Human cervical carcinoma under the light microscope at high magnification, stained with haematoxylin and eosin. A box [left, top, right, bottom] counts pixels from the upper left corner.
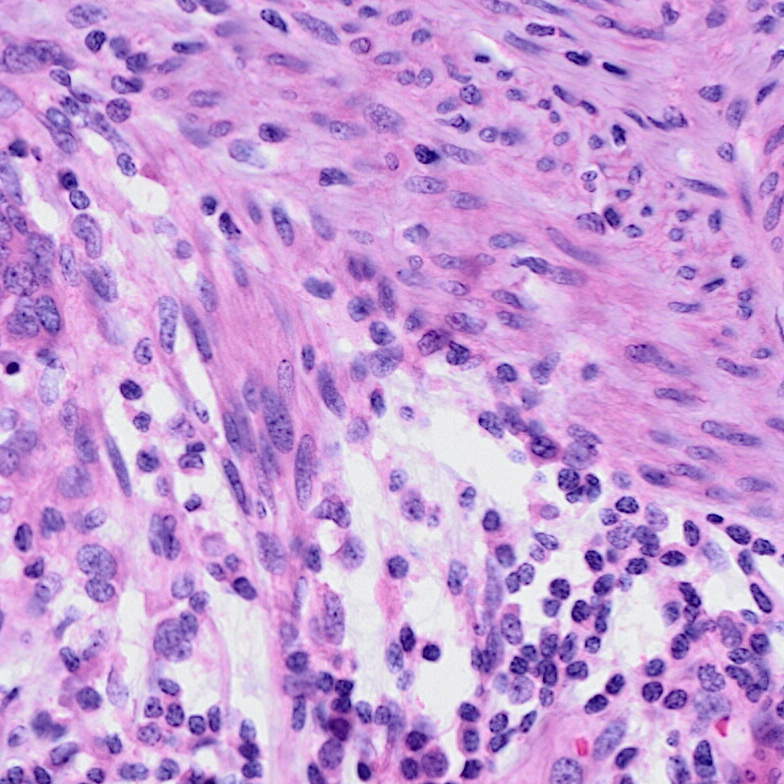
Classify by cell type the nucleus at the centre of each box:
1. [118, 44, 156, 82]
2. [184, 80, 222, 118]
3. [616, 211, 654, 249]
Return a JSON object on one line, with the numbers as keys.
{"1": "lymphocyte", "2": "smooth muscle cell", "3": "smooth muscle cell"}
